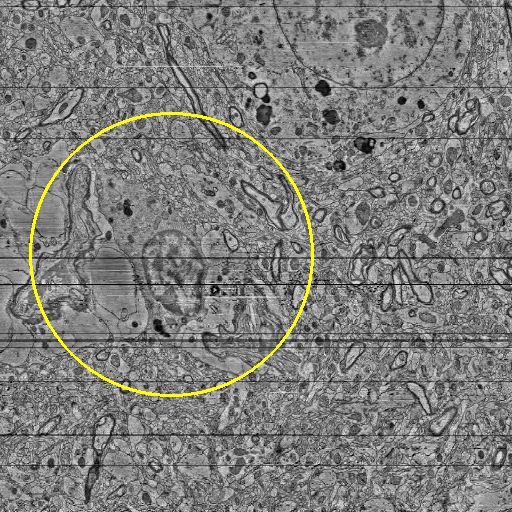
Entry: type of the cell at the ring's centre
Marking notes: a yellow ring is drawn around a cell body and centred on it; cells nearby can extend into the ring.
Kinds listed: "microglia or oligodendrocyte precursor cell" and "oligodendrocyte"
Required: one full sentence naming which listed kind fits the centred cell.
My entry names an oligodendrocyte as the cell whose body the yellow ring centres on.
